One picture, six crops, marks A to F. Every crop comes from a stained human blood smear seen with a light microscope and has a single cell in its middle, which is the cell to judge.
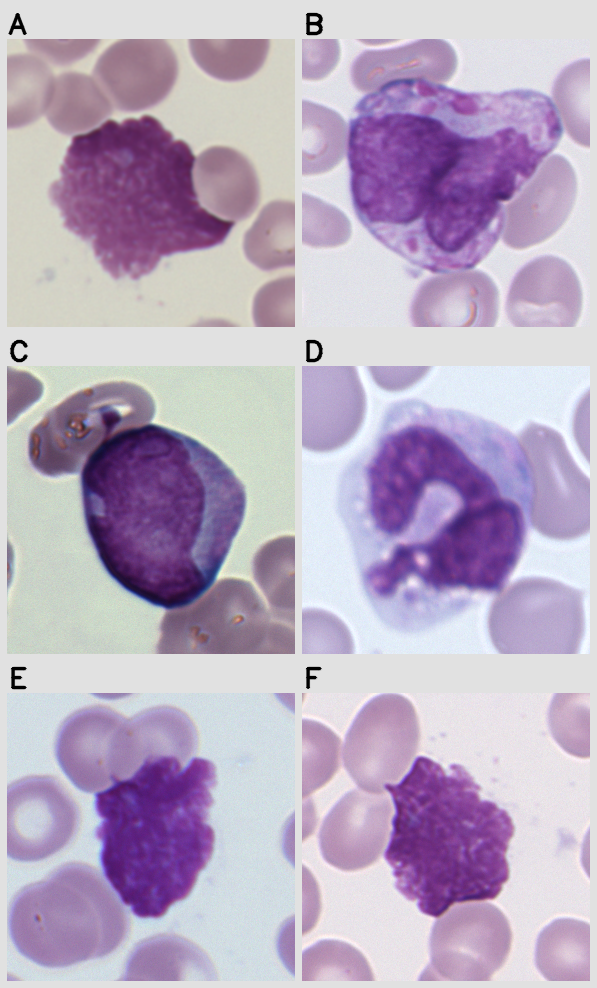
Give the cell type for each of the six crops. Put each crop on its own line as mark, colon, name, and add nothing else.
A: smudge cell
B: atypical promyelocyte
C: atypical promyelocyte
D: monocyte
E: smudge cell
F: smudge cell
